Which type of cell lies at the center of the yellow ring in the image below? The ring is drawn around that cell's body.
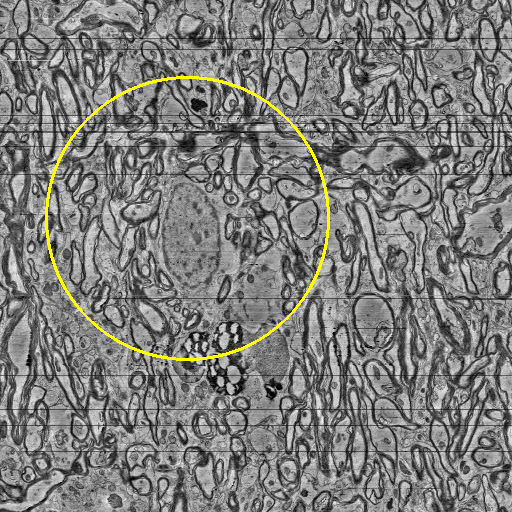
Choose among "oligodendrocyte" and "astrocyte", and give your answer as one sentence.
The cell body at the center belongs to an astrocyte.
